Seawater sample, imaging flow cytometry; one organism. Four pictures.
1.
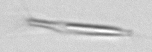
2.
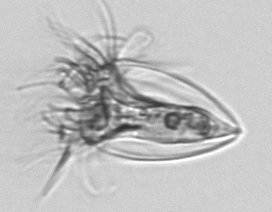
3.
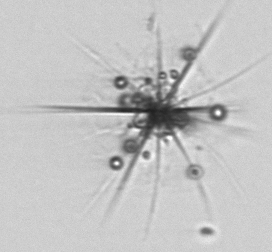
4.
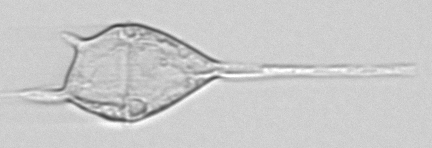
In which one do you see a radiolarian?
In picture 3.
